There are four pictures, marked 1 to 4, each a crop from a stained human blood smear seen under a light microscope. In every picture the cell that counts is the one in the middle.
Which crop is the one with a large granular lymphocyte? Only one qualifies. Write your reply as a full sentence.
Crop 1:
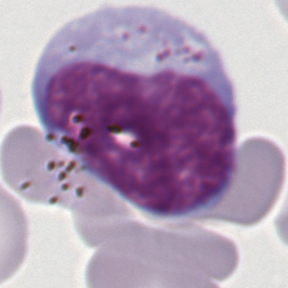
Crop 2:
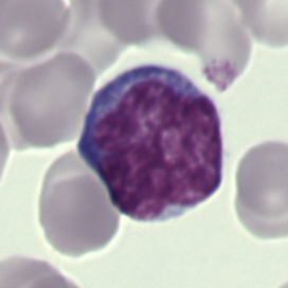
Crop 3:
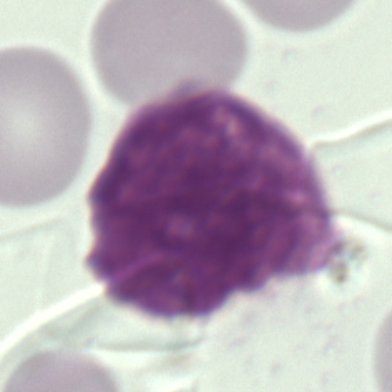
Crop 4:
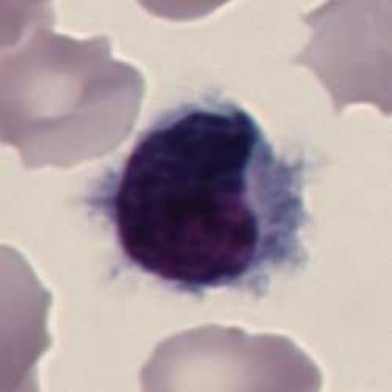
It is in crop 1 that a large granular lymphocyte is shown.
